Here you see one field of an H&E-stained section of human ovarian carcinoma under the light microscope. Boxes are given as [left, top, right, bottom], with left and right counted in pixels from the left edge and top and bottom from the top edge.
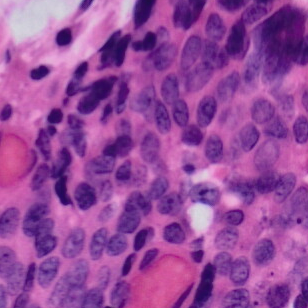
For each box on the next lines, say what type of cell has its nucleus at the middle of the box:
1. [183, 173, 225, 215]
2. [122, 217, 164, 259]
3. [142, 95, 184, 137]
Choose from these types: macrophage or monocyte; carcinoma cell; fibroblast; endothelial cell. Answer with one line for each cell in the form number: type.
1: macrophage or monocyte
2: carcinoma cell
3: carcinoma cell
